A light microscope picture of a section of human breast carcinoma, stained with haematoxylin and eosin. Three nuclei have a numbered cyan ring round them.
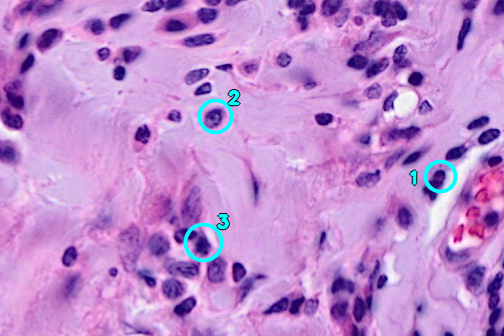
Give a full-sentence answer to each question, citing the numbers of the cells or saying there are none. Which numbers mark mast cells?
Cell 2 is the one numbered cell that is a mast cell.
